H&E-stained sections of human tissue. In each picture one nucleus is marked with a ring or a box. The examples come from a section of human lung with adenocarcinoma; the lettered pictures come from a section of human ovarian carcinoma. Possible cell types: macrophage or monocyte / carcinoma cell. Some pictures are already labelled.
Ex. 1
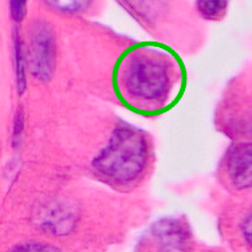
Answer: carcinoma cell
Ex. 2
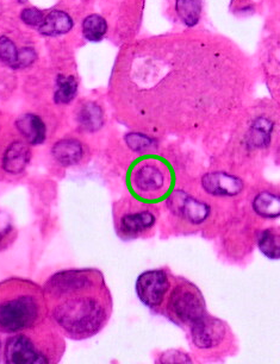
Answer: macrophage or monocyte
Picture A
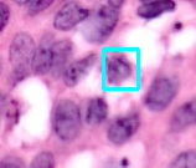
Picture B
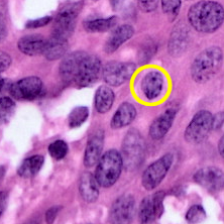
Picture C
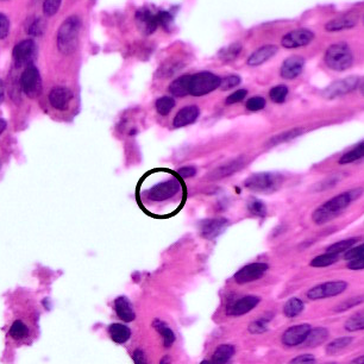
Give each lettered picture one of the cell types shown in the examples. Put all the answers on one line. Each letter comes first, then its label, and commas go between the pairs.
A macrophage or monocyte, B macrophage or monocyte, C carcinoma cell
